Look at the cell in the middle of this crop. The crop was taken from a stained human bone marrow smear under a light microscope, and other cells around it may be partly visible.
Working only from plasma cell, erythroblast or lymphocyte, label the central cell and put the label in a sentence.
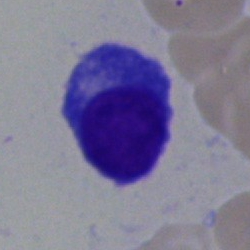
In the crop, the cell of interest at the centre is a plasma cell.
